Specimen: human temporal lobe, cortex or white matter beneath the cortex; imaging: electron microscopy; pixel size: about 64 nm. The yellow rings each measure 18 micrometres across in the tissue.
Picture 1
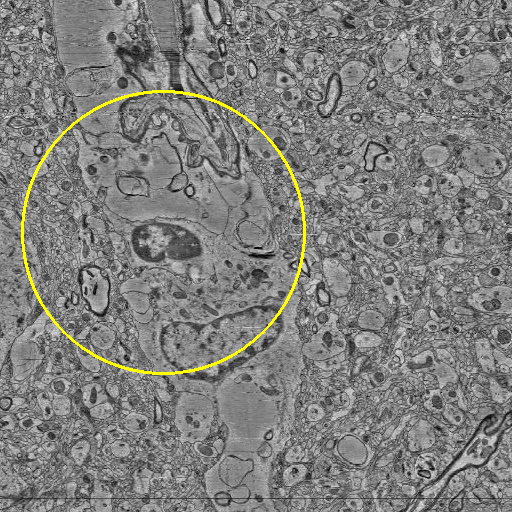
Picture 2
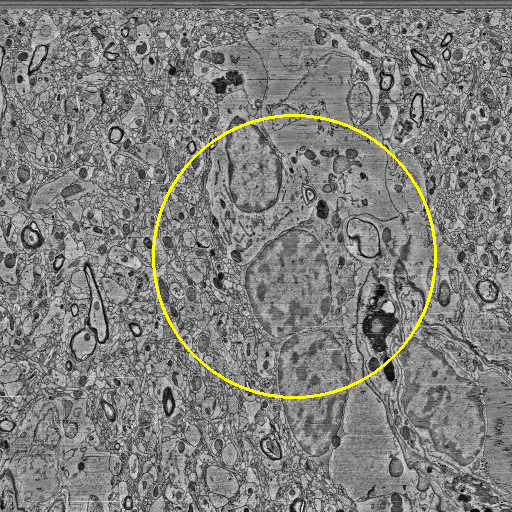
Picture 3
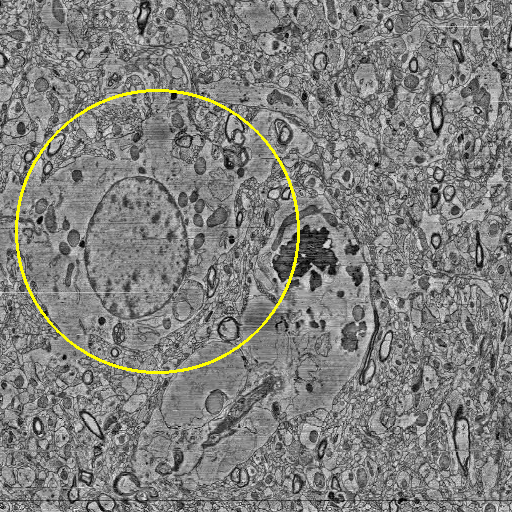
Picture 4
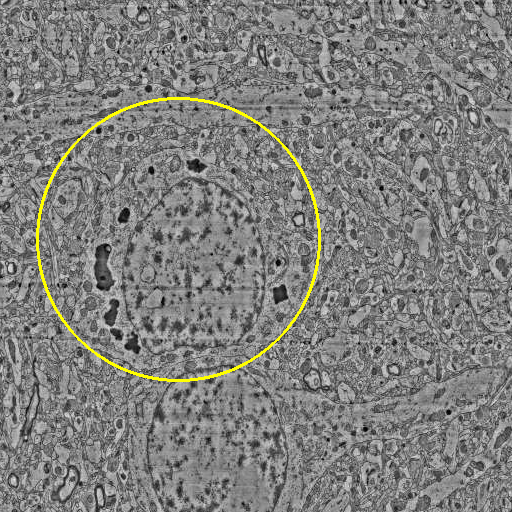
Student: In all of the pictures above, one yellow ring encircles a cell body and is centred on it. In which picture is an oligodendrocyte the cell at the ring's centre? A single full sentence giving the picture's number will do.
Picture number 2 has the wanted cell right at the centre of its ring.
